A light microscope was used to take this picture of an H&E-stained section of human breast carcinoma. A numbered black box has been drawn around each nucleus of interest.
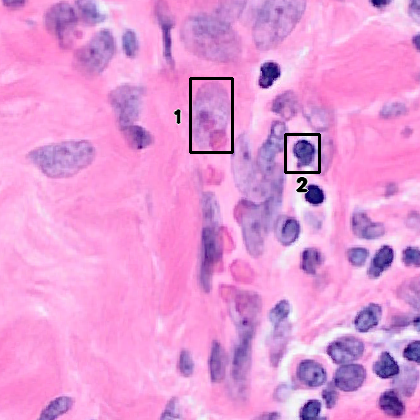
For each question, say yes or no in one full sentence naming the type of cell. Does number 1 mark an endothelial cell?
Yes, number 1 in this section denotes an endothelial cell.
